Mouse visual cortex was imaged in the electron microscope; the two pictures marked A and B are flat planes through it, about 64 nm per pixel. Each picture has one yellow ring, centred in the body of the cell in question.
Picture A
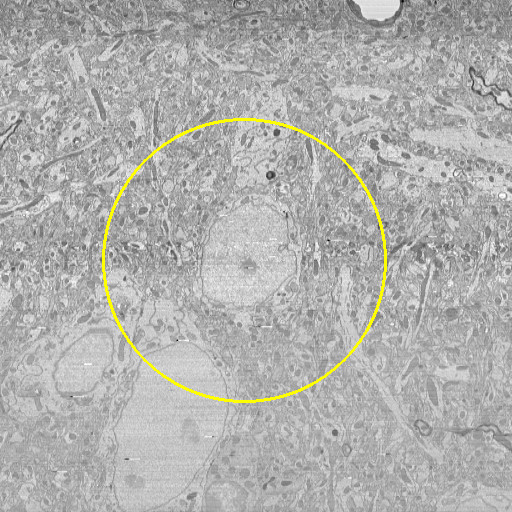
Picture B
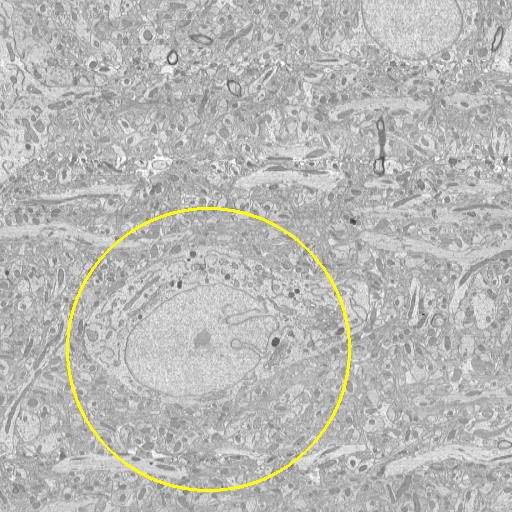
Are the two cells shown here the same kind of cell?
Yes; the cells in both pictures are inhibitory neurons.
